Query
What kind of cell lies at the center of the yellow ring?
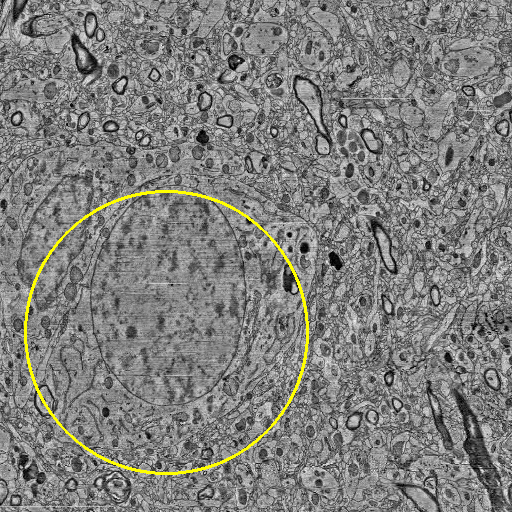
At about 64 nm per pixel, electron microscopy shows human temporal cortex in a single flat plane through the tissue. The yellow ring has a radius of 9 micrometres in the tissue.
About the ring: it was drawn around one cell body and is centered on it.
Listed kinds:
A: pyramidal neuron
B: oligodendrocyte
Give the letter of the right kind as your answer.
A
